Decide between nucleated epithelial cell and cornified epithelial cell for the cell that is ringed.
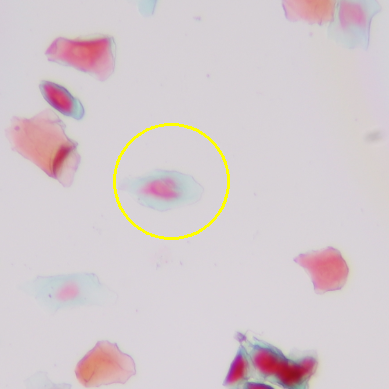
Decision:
I take the ringed cell for a nucleated epithelial cell.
